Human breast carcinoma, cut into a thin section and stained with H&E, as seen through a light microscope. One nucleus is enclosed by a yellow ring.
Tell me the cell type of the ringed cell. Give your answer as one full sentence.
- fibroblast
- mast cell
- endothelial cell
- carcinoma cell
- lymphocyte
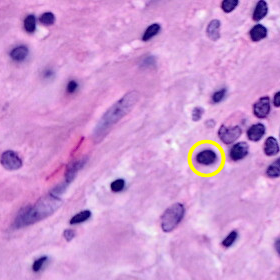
In short, the ringed cell on this section is a lymphocyte.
